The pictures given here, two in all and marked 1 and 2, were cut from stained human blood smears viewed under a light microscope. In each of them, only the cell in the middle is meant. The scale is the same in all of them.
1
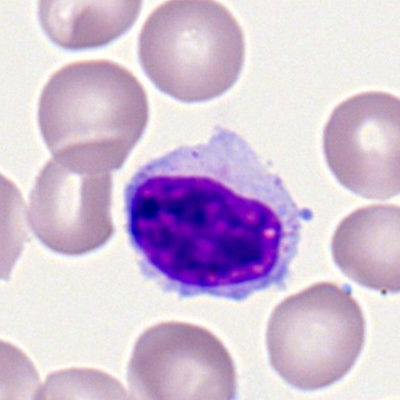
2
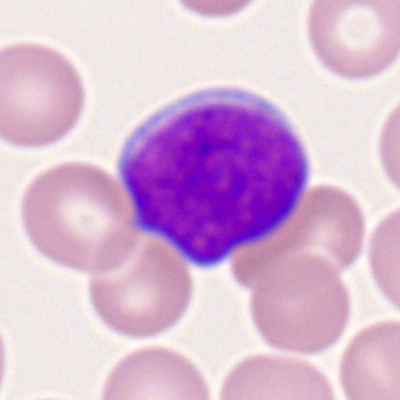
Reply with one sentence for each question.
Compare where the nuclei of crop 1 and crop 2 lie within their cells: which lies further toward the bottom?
The nucleus in crop 1 lies further toward the bottom of its cell.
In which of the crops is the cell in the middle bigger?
Crop 2 holds the larger cell; it covers about 2 times the area of the cell in crop 1.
